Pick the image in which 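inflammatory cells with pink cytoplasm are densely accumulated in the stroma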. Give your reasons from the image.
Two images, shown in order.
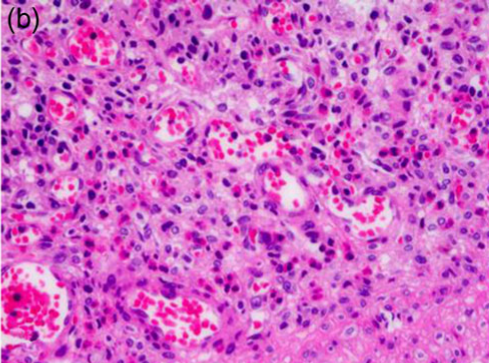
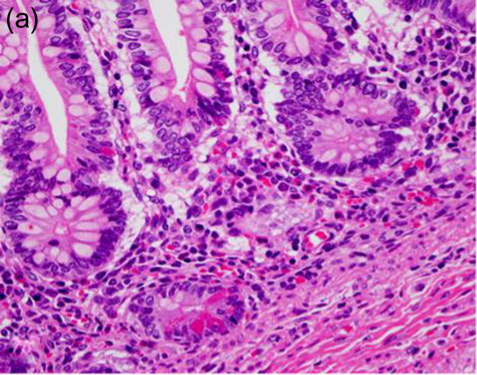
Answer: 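The first image. First image: the stroma is packed with inflammatory cells with pink cytoplasm among congested vessels.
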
